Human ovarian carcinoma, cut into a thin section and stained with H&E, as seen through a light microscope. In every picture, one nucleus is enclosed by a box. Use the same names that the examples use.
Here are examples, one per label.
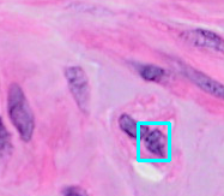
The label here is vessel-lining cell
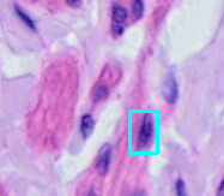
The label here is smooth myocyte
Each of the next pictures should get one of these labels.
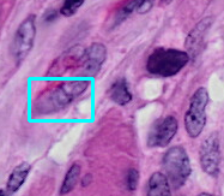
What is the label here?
vessel-lining cell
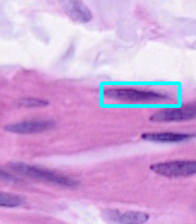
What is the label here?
smooth myocyte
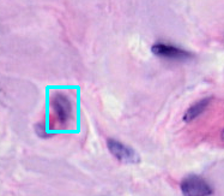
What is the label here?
vessel-lining cell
